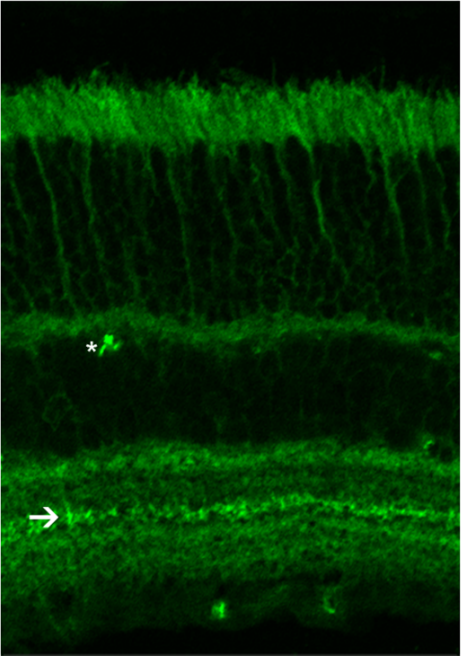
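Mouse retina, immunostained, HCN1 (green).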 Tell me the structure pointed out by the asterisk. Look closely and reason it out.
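Blood vessels. A small, bright, irregular green profile sits at the lower edge of a thin green band, apart from the layered staining. It is far brighter than the surrounding labelling.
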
